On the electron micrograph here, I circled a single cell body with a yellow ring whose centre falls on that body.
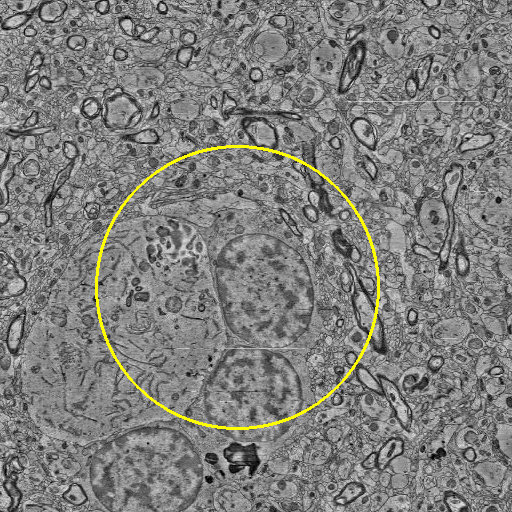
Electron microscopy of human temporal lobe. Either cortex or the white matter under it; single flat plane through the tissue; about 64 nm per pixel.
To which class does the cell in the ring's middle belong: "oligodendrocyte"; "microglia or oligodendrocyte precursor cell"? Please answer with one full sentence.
In this picture, the cell body circled at the ring's centre belongs to an oligodendrocyte.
